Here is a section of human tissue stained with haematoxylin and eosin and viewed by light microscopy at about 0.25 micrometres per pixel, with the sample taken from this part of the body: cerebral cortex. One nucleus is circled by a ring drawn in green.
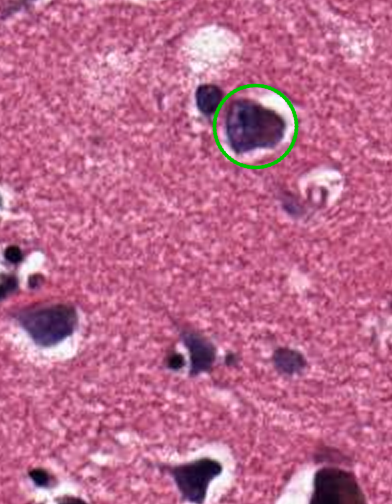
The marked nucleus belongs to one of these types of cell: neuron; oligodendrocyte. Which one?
neuron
